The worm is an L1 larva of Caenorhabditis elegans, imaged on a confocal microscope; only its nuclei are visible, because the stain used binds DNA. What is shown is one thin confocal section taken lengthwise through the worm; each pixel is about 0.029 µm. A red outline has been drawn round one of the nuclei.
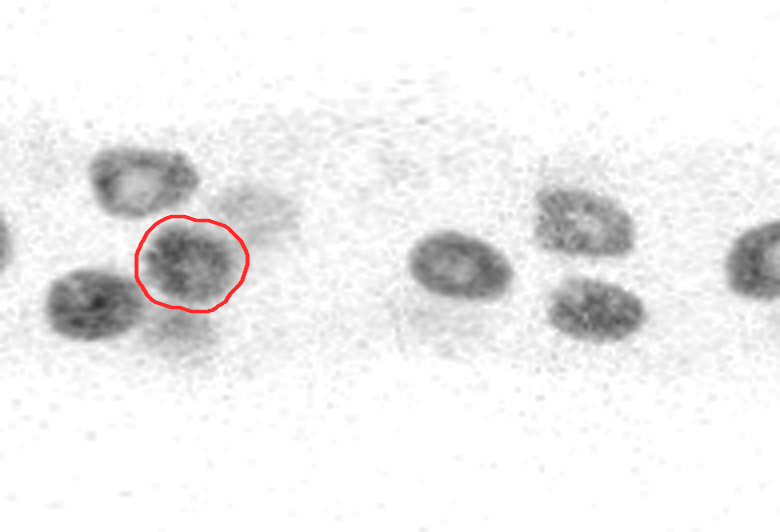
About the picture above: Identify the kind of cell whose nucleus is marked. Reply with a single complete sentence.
It belongs to a Q neuroblast.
